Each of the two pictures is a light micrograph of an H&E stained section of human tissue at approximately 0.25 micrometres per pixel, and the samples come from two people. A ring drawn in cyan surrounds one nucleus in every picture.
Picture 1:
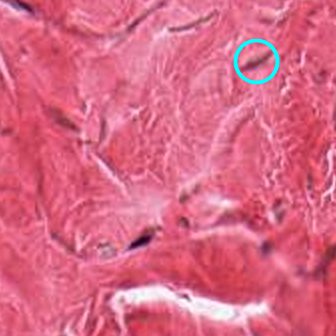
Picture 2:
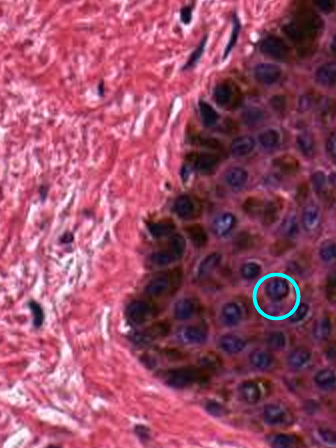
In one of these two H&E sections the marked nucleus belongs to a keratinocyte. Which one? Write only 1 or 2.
2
